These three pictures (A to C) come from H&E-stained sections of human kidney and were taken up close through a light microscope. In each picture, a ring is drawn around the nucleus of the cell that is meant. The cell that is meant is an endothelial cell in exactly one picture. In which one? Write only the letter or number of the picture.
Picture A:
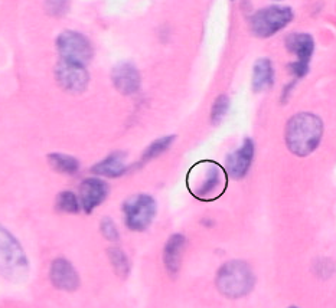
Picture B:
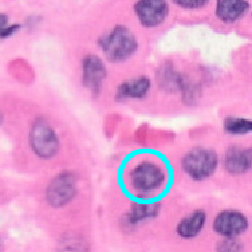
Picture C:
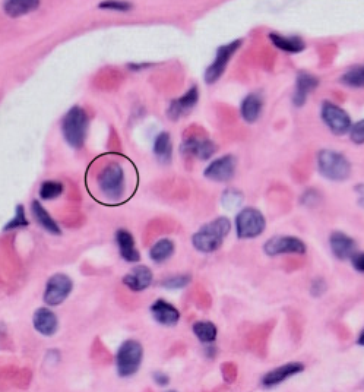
C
